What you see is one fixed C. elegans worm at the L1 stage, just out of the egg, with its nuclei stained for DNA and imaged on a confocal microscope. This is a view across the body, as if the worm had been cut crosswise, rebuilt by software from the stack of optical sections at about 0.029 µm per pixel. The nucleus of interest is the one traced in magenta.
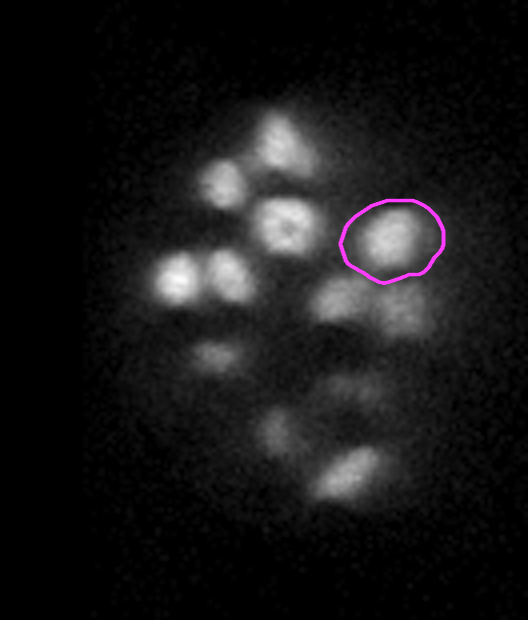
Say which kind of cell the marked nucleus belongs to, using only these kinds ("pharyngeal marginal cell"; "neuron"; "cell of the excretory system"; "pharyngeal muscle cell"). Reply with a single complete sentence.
The marked nucleus belongs to a neuron.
